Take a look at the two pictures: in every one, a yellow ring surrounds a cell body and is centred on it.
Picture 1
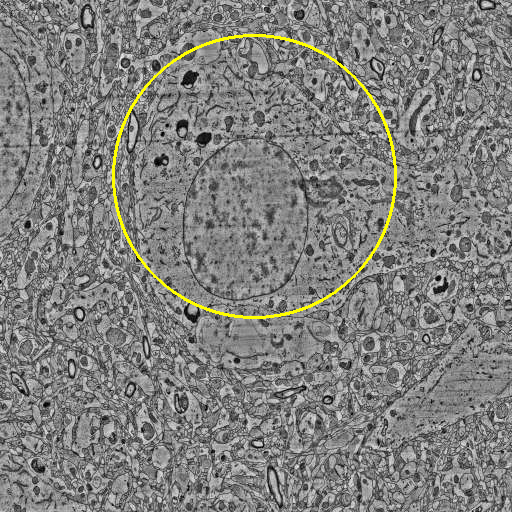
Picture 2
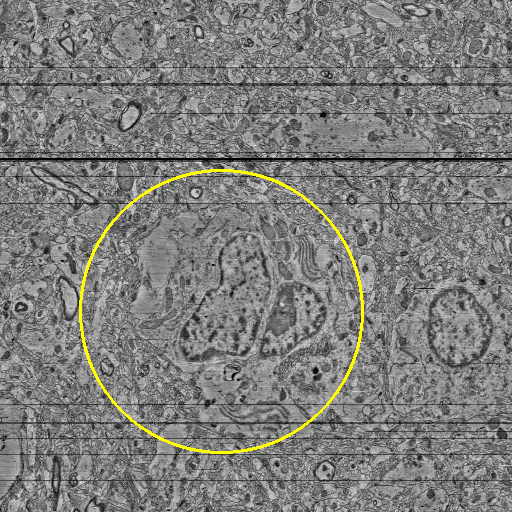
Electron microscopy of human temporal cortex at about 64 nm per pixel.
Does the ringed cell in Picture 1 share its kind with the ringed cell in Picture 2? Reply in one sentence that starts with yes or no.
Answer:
No, the two centred cells, one per picture, are of two kinds.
